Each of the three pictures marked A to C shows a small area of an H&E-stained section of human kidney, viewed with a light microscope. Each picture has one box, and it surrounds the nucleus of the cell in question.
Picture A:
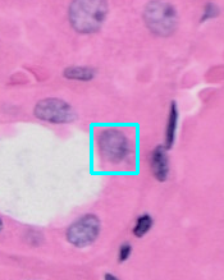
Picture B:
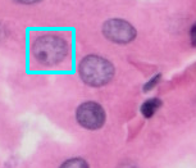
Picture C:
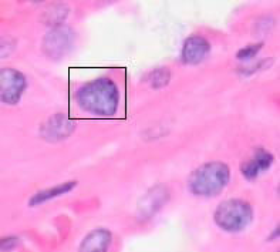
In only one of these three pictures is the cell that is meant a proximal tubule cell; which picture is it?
B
